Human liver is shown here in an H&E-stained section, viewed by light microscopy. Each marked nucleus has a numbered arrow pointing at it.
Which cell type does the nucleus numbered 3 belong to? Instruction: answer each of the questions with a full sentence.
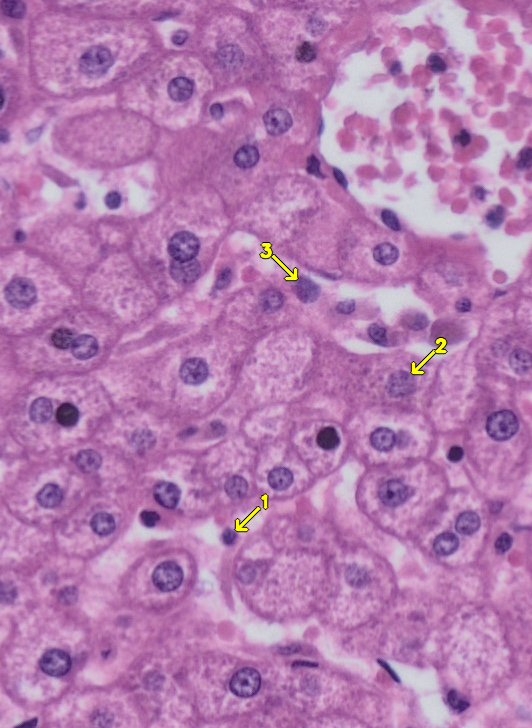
Cell 3 is classified as an endothelial cell.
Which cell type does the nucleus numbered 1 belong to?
Numbered cell 1 is a lymphocyte in this tissue section.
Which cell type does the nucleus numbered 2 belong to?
Corresponding to a hepatocyte is the cell labelled 2.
